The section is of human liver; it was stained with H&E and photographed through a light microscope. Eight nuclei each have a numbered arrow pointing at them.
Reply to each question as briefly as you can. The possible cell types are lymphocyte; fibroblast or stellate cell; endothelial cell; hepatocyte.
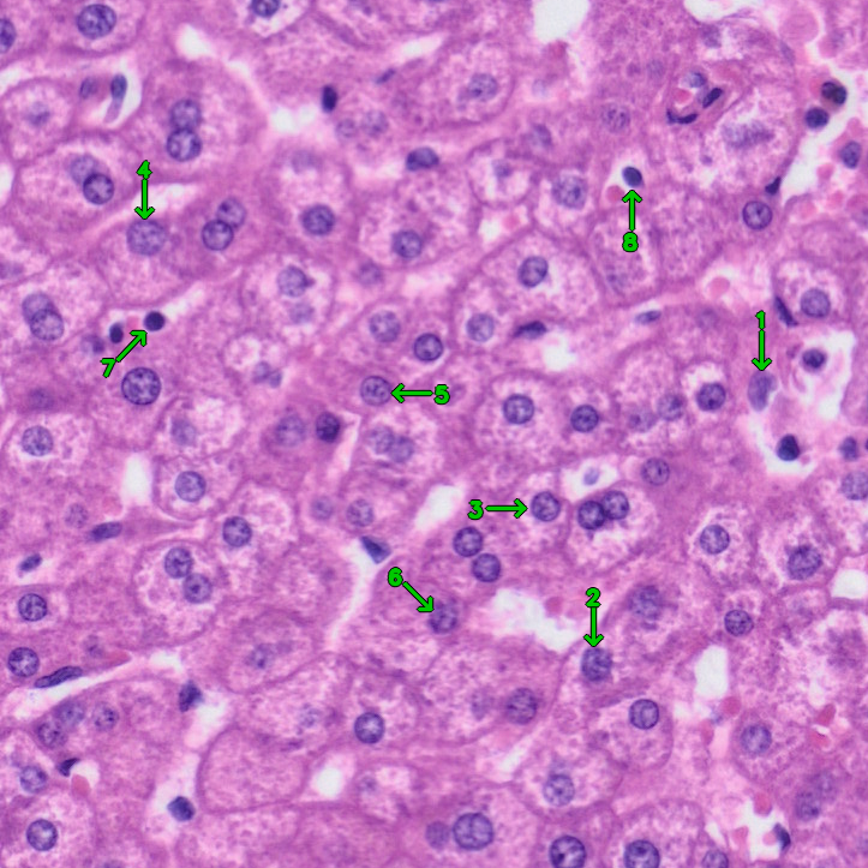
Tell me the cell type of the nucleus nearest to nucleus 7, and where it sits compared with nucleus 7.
a lymphocyte; to the left of nucleus 7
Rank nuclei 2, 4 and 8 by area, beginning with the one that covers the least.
8, 2, 4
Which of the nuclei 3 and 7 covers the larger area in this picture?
3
